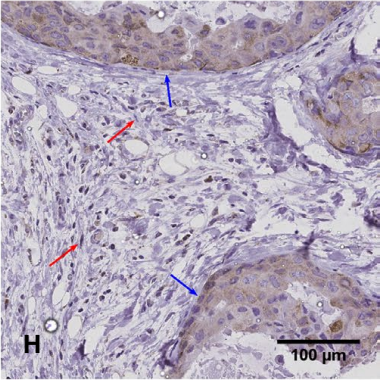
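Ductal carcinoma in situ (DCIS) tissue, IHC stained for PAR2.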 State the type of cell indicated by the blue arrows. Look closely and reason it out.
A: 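The arrows point to the flattened cell layer bordering the epithelial nests.
Myoepithelial cells.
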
